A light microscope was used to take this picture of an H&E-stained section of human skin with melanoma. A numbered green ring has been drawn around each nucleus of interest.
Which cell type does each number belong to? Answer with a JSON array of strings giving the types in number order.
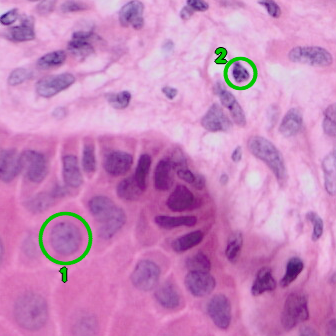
["keratinocyte", "lymphocyte"]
